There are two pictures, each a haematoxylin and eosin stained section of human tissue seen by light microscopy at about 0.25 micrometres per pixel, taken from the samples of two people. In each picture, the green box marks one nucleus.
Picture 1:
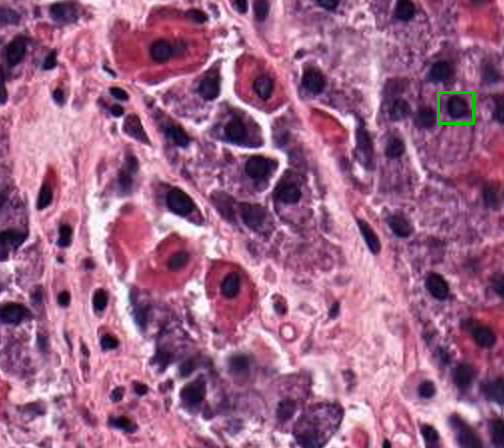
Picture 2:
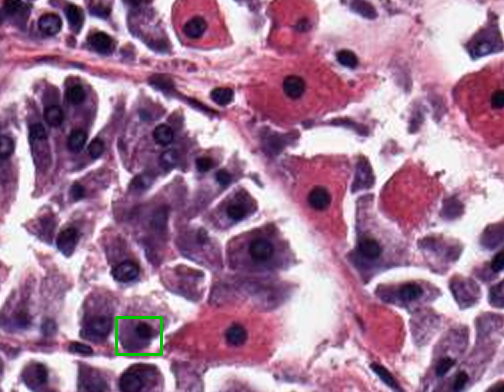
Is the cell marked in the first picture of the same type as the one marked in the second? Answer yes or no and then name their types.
Yes, both are chief cells.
